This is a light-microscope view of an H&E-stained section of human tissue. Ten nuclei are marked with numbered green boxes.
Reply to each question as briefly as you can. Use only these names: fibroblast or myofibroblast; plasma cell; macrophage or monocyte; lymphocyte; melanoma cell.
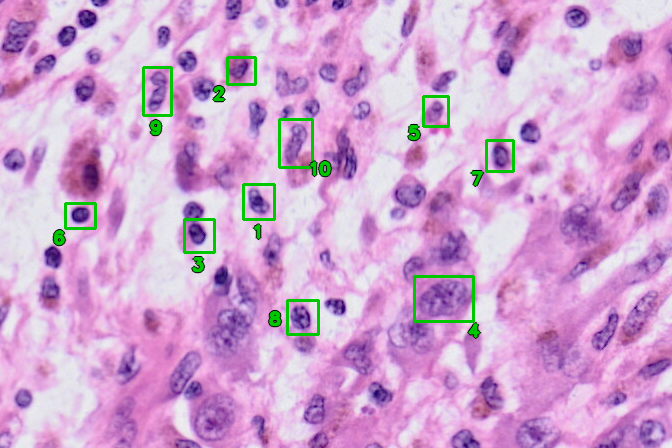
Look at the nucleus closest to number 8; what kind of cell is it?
macrophage or monocyte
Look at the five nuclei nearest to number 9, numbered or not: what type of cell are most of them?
lymphocyte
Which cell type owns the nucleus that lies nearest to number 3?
lymphocyte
